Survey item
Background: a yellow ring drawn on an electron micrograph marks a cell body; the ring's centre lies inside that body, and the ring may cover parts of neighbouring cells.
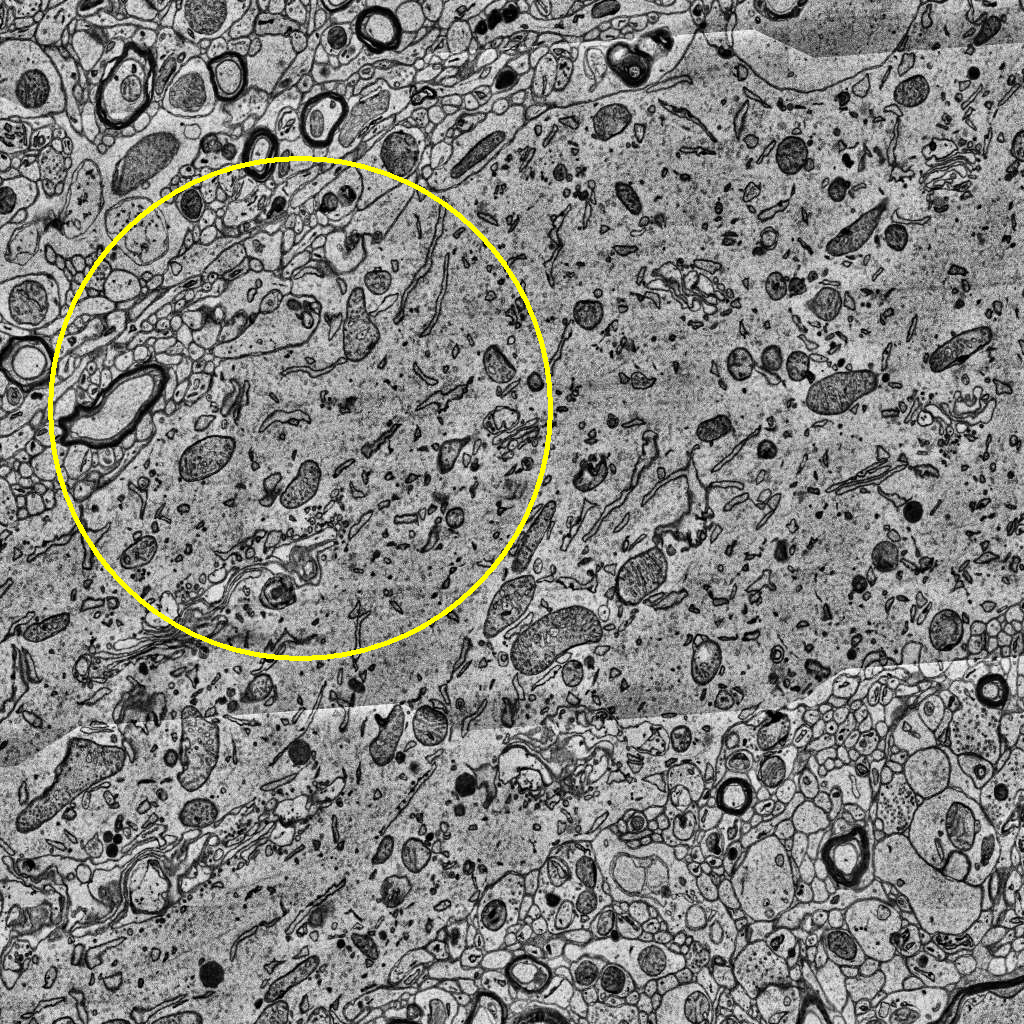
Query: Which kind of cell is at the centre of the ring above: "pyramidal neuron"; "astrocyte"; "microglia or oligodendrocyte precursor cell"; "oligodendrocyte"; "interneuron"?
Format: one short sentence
The cell in the middle of the ring is a pyramidal neuron.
